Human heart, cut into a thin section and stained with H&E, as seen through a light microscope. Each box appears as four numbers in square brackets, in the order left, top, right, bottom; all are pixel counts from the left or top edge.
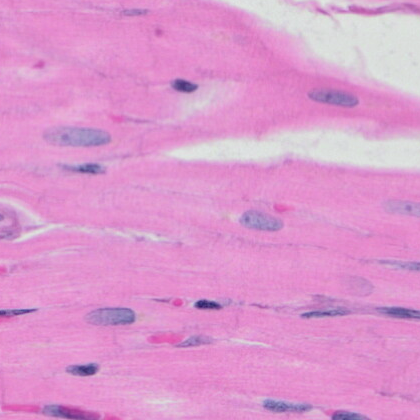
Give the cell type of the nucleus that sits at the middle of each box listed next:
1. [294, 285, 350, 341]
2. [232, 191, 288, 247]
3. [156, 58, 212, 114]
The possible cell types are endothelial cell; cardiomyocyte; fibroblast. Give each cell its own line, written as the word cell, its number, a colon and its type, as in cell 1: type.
cell 1: fibroblast
cell 2: cardiomyocyte
cell 3: endothelial cell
